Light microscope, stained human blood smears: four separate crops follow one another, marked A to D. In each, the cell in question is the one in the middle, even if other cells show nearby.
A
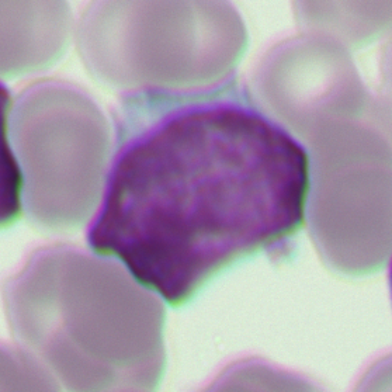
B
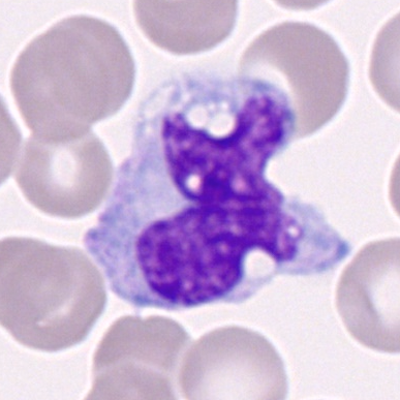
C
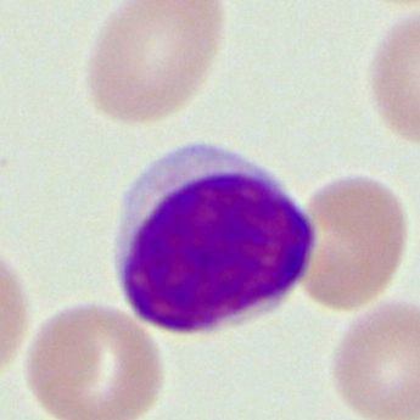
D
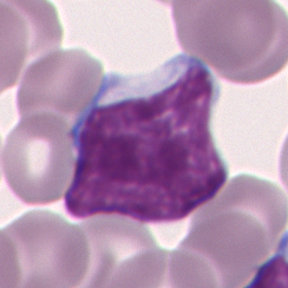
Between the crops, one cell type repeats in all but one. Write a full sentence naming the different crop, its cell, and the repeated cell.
Although the other crops all show lymphocytes, crop B shows a monocyte.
